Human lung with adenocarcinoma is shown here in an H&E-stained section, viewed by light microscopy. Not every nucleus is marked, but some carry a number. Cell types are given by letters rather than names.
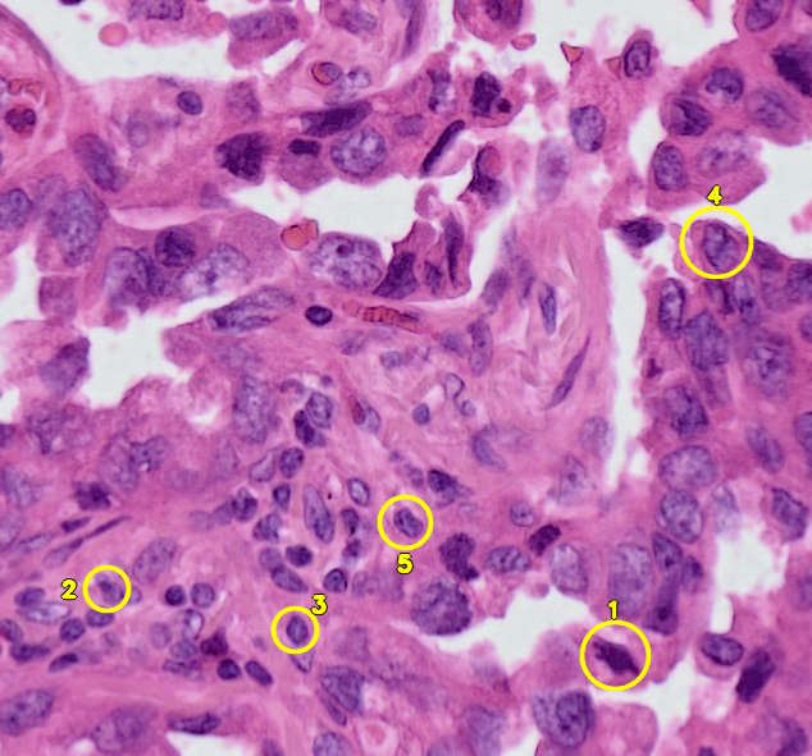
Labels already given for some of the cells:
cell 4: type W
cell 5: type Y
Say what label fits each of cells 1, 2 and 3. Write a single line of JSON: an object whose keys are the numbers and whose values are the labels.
{"1": "type W", "2": "type Y", "3": "type Y"}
